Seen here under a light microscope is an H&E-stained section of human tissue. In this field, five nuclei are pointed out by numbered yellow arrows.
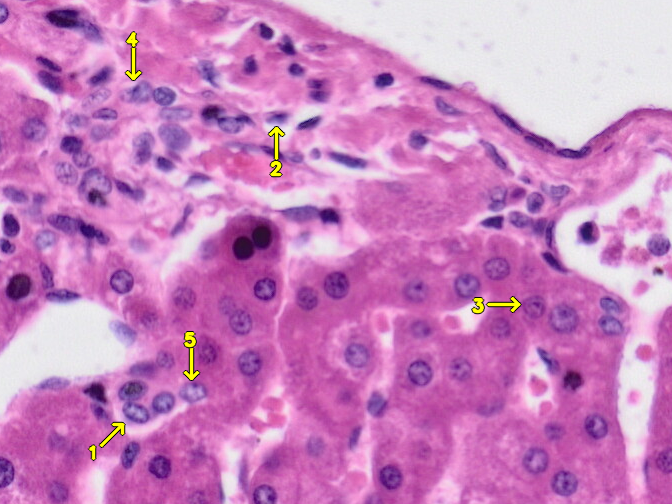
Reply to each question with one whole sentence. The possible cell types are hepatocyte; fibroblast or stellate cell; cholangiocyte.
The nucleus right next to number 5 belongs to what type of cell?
The cell nearest to number 5 is a cholangiocyte.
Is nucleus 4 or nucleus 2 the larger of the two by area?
The larger nucleus is 4, at roughly 2 times the area of 2.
